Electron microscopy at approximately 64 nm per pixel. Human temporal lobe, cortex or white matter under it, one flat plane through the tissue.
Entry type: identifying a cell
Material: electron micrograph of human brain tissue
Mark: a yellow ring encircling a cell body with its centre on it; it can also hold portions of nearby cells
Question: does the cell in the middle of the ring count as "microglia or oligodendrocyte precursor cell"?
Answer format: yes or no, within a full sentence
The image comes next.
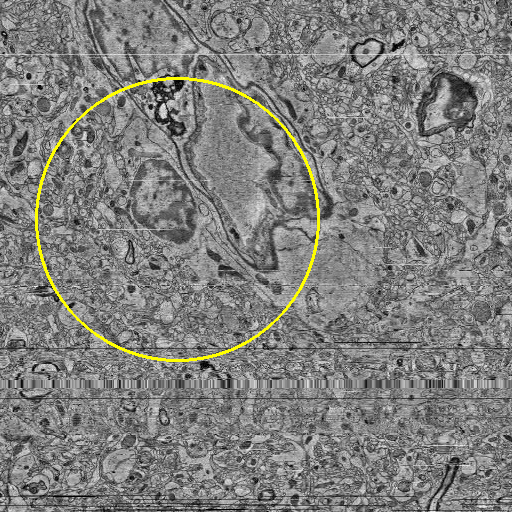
Yes, in the image, the cell in the middle of the yellow ring counts as the queried kind.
